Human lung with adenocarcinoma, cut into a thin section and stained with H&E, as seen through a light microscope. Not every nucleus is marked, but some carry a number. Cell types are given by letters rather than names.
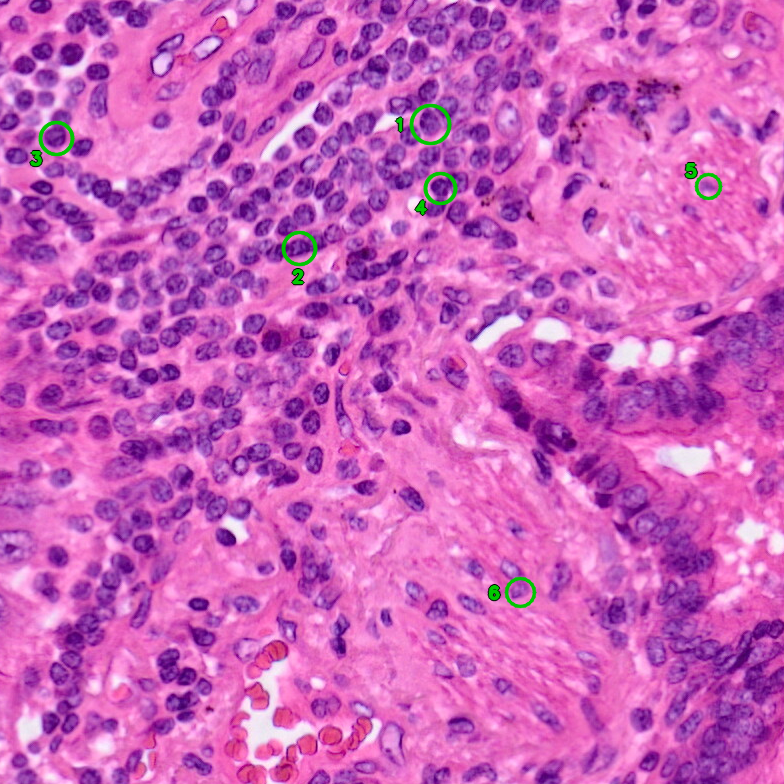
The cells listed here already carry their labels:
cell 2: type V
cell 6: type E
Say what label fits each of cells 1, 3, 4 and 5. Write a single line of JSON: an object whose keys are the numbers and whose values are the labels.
{"1": "type V", "3": "type V", "4": "type V", "5": "type E"}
